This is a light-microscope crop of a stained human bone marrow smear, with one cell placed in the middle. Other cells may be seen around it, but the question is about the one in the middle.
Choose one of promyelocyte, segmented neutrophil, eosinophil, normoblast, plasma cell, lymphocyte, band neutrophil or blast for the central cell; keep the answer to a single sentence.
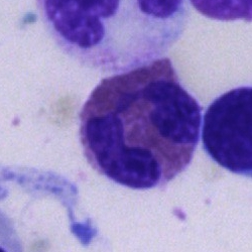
Of the cells in this crop, the central one is an eosinophil.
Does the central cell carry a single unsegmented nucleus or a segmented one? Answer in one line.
Rather than a single mass, the nucleus forms two or more lobes.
